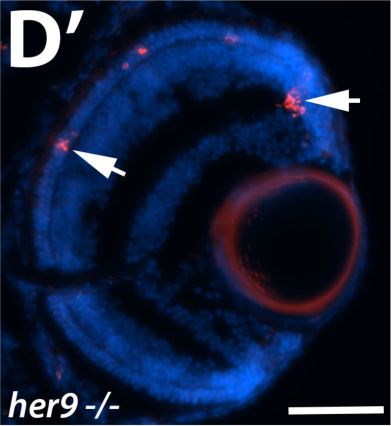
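The retina shows distinct blue bands of densely packed nuclei separated by paler layers. The lens is outlined by a bright red rim. A few compact red clusters lie at the outer edge of the retina, in the outermost band of nuclei. Elsewhere the retina is almost free of red label.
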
